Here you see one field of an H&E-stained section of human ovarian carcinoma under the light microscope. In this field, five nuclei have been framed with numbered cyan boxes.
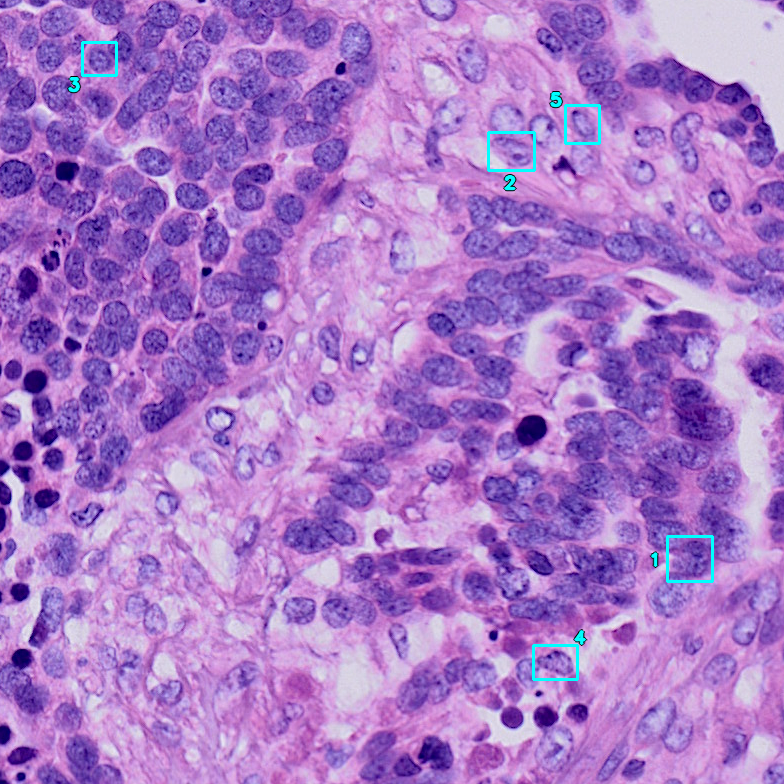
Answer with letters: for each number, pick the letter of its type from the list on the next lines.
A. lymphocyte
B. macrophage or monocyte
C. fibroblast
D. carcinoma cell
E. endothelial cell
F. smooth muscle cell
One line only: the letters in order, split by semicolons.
D; C; D; B; C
